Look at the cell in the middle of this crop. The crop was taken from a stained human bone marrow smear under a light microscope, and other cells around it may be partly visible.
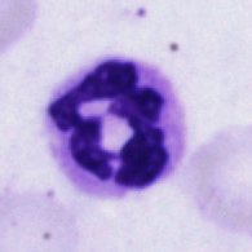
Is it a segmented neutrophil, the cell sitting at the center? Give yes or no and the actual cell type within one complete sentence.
Yes, the cell centred in the field of view is a segmented neutrophil.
